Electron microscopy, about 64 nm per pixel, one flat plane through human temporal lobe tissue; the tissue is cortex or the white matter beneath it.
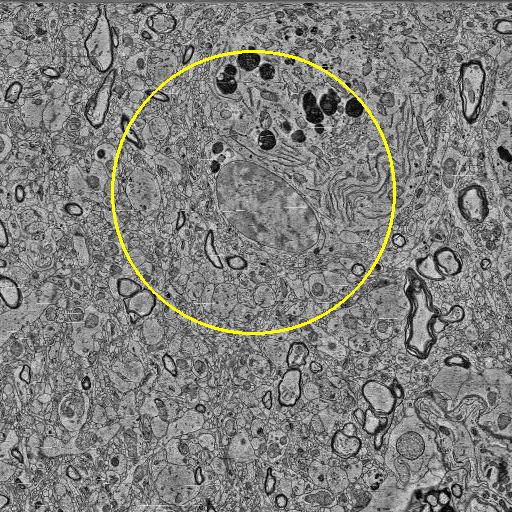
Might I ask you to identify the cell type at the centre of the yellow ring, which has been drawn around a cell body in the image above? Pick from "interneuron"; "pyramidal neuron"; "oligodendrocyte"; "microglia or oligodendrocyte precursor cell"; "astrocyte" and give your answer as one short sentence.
The centre of the ring falls on a microglial cell or oligodendrocyte precursor cell.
